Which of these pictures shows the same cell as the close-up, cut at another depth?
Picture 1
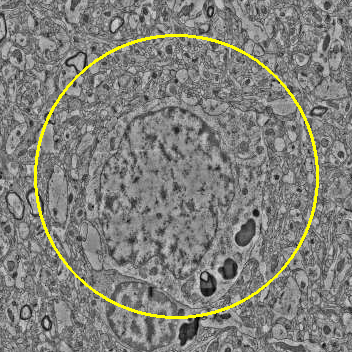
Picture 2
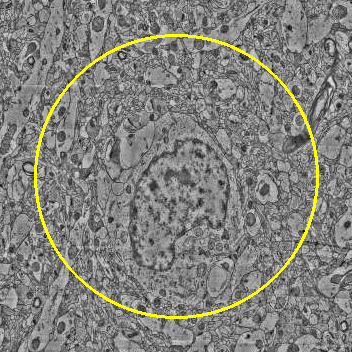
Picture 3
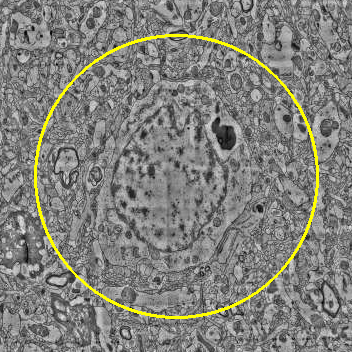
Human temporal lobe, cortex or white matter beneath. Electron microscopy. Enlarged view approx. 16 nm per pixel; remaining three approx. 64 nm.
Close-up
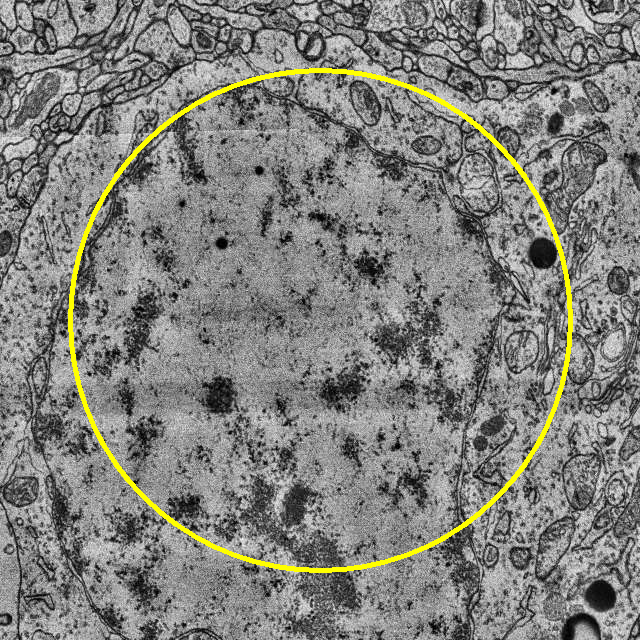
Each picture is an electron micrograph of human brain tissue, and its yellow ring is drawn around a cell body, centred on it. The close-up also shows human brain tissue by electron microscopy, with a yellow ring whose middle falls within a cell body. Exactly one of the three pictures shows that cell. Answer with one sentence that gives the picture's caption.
The close-up image matches the cell inside the ring of Picture 1.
